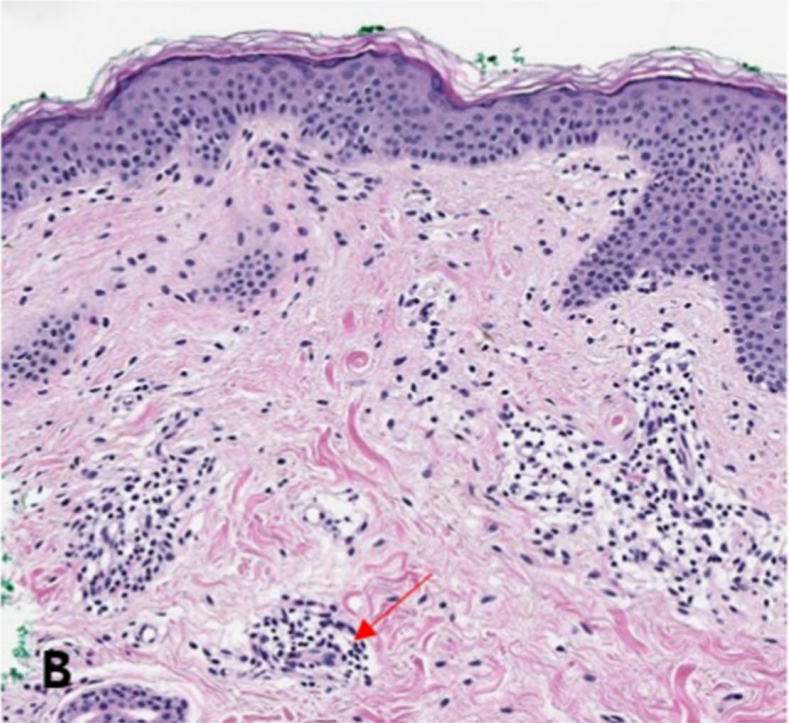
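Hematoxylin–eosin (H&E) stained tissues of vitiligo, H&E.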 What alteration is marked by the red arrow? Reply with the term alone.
Perivascular inflammation.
